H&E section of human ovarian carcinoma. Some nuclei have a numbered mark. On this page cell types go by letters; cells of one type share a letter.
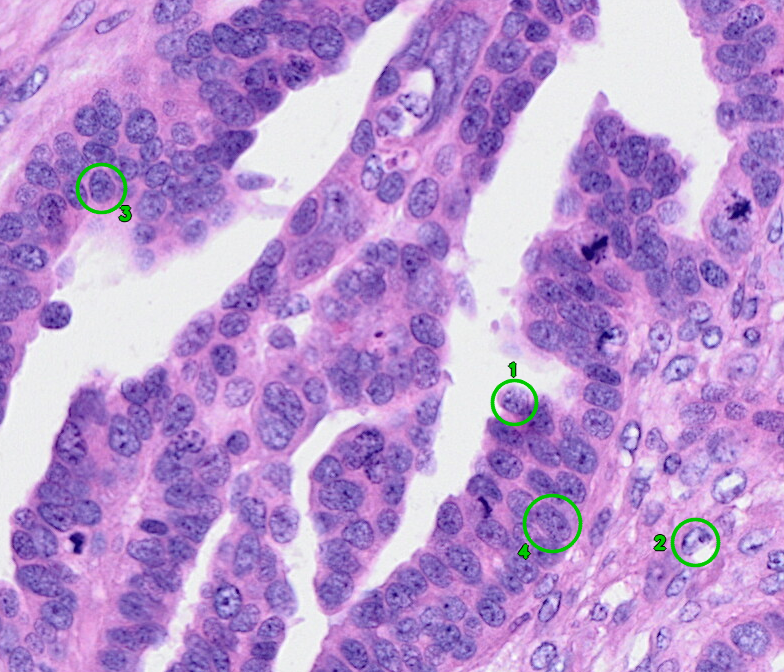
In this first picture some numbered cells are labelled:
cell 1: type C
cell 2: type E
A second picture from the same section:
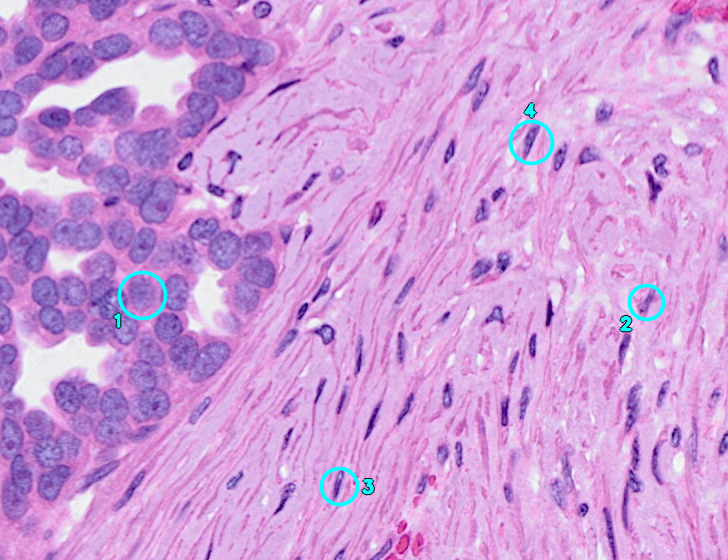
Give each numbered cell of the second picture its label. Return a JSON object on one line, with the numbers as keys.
{"1": "type C", "2": "type E", "3": "type E", "4": "type E"}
